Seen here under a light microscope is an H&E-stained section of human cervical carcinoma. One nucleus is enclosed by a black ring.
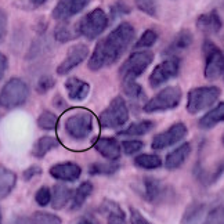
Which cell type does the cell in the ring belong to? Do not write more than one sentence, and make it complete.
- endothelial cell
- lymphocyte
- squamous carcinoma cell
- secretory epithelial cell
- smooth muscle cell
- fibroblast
In the tissue at hand, the cell in the ring is a secretory epithelial cell.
